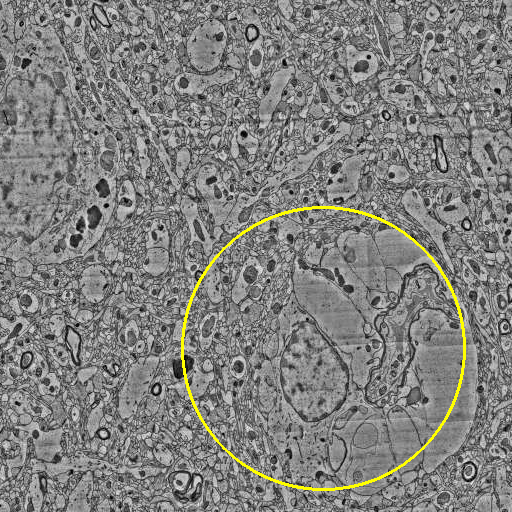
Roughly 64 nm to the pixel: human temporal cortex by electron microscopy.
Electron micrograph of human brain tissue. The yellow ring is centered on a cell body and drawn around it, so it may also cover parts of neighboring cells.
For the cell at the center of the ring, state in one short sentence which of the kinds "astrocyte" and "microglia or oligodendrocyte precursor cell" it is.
This ring is centered on a microglial cell or oligodendrocyte precursor cell.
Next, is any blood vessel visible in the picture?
Yes, one is visible.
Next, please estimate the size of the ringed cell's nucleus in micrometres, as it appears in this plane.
About 6 by 4 micrometers for the nucleus, in this plane.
